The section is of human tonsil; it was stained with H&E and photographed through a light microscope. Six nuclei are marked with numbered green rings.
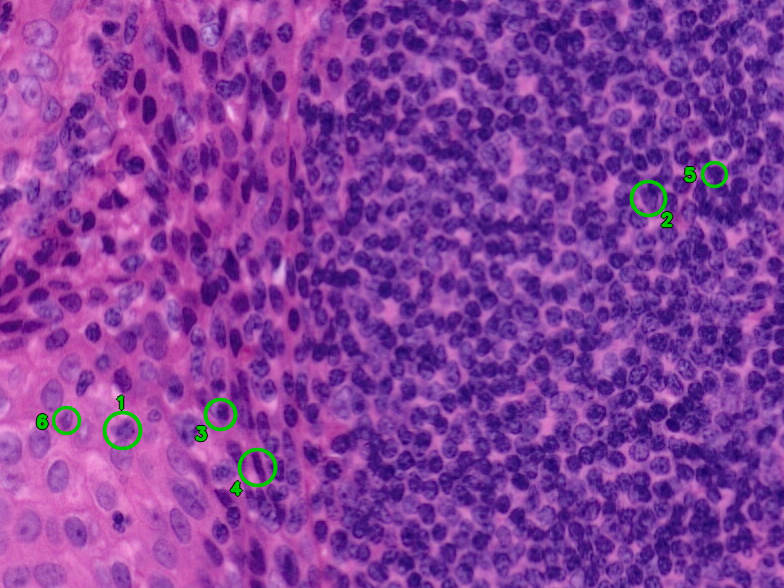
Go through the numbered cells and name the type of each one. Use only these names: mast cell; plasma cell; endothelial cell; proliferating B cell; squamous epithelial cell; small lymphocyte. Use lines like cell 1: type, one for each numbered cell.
cell 1: squamous epithelial cell
cell 2: small lymphocyte
cell 3: squamous epithelial cell
cell 4: squamous epithelial cell
cell 5: small lymphocyte
cell 6: squamous epithelial cell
